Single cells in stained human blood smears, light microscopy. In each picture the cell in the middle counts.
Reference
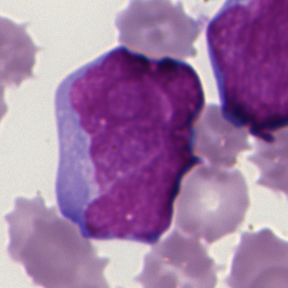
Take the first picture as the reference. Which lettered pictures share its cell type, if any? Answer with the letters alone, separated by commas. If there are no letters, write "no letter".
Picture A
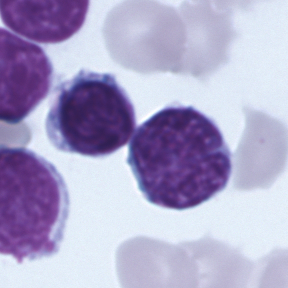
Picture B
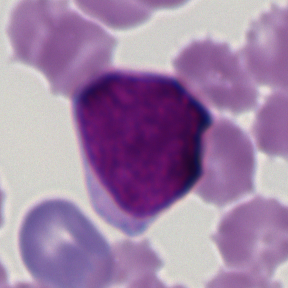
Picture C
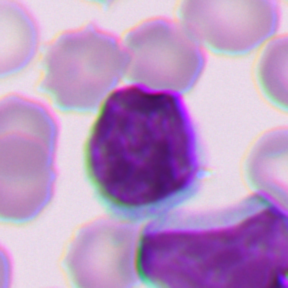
A, B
